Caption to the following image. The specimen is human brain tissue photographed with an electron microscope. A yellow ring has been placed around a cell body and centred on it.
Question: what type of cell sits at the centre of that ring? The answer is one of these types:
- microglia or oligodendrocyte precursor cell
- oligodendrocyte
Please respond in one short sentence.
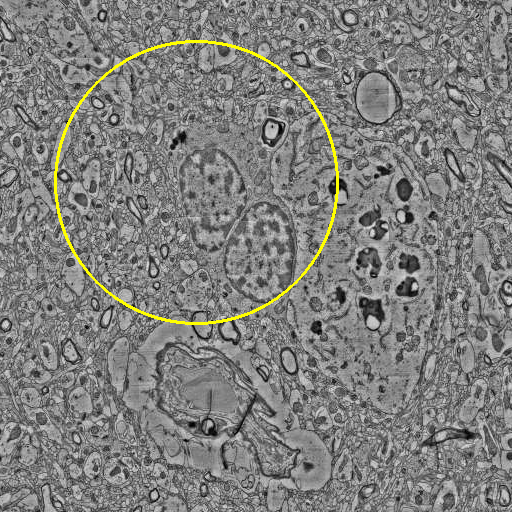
The ring surrounds the cell body of an oligodendrocyte.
